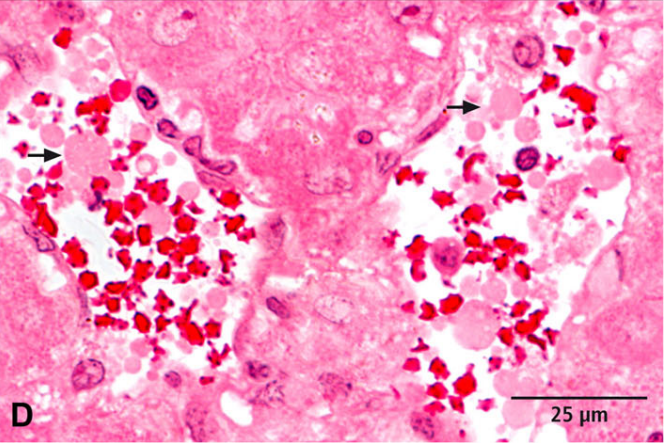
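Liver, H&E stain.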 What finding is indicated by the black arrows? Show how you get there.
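The arrows point to round pale pink glassy globules. The globules lie in open spaces filled with red blood cells between hepatocytes. That points to this answer: globular hyaline microthrombi.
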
